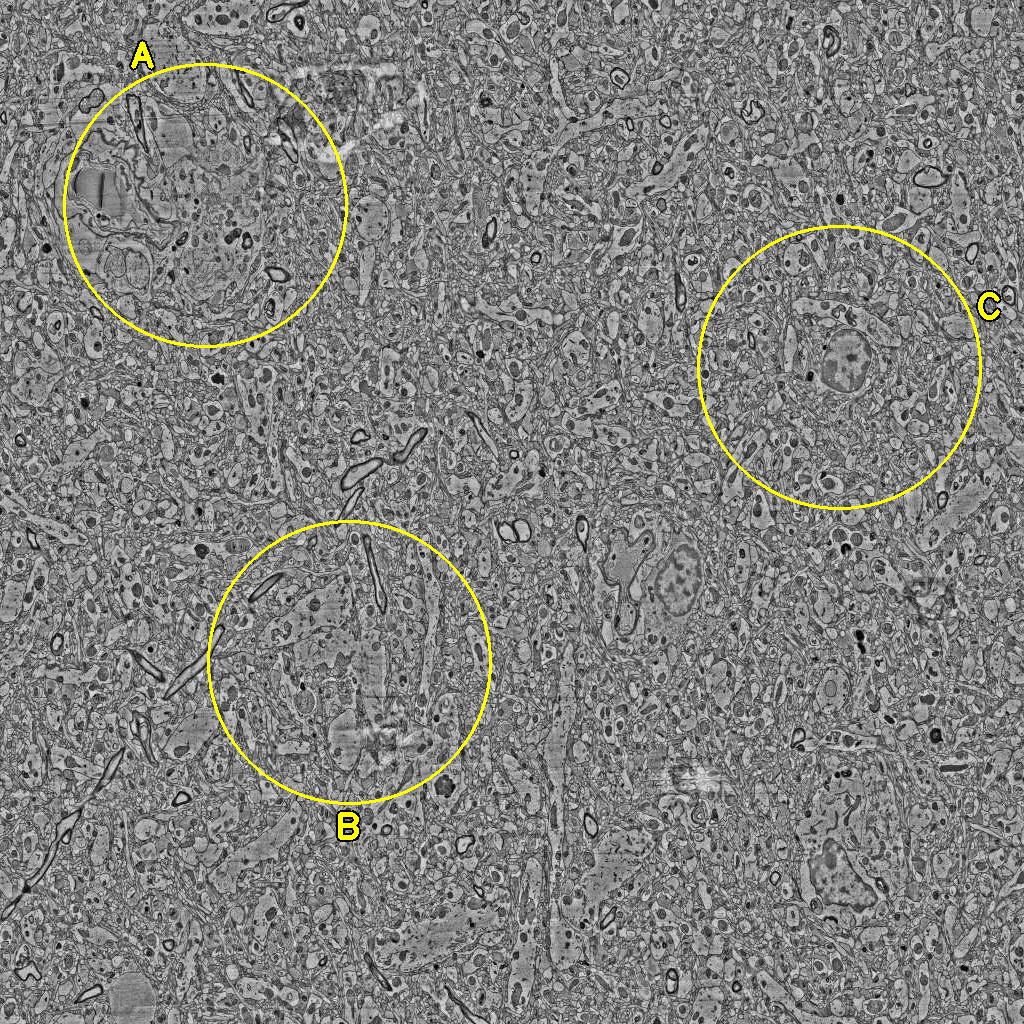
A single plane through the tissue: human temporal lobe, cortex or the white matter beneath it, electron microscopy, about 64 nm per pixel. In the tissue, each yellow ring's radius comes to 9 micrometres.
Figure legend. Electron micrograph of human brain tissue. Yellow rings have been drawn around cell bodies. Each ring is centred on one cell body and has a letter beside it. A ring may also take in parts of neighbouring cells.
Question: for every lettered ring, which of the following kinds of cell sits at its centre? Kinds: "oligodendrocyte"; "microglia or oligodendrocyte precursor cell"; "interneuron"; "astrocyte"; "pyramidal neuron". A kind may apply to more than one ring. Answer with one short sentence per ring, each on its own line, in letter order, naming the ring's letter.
Ring A is centred on an interneuron.
Ring B is centred on an astrocyte.
Ring C is centred on a microglial cell or oligodendrocyte precursor cell.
